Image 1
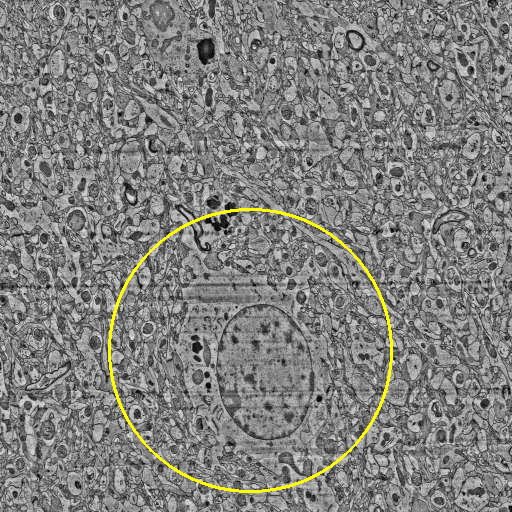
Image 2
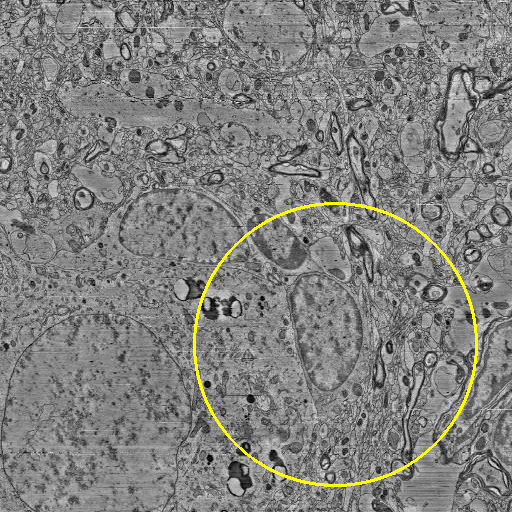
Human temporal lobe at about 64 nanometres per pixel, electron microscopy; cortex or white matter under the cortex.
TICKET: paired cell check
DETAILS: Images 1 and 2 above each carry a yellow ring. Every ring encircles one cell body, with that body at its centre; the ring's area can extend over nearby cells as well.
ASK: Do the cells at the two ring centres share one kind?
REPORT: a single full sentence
No, the ring-centre cells of Images 1 and 2 belong to two kinds.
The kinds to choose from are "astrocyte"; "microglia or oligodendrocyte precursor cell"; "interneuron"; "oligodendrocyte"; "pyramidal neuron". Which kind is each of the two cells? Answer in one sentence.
Of the two, the first cell is an astrocyte and the second cell is an oligodendrocyte.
